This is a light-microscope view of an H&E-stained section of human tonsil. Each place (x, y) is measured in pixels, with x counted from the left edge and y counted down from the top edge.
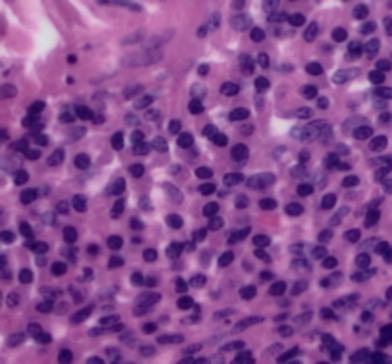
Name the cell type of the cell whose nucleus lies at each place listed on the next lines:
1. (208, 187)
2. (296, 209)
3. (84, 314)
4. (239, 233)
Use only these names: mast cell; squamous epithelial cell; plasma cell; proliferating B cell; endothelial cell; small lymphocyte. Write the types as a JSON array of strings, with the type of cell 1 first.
["plasma cell", "plasma cell", "squamous epithelial cell", "plasma cell"]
